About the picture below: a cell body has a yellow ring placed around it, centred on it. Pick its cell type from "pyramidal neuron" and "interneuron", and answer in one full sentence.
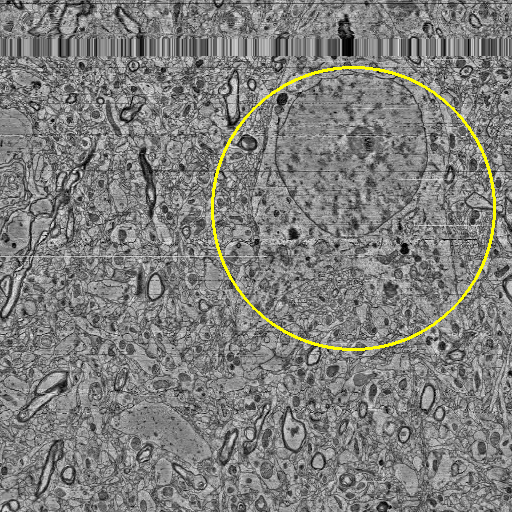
In the picture, a pyramidal neuron is the cell sitting at the centre of the yellow ring.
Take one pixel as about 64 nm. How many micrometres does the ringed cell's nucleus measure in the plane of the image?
Roughly 11 micrometres by 10 micrometres, in this plane.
